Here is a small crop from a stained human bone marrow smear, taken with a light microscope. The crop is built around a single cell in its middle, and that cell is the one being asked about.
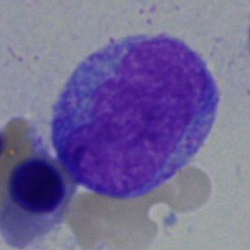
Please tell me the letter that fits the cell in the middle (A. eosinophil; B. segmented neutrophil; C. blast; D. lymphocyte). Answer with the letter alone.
C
